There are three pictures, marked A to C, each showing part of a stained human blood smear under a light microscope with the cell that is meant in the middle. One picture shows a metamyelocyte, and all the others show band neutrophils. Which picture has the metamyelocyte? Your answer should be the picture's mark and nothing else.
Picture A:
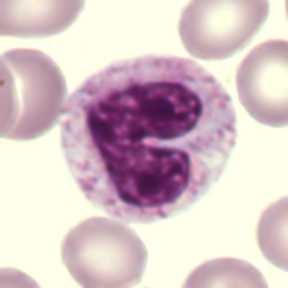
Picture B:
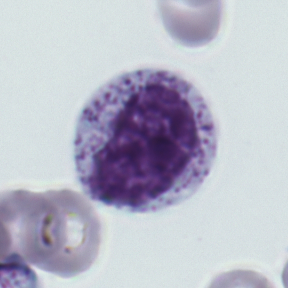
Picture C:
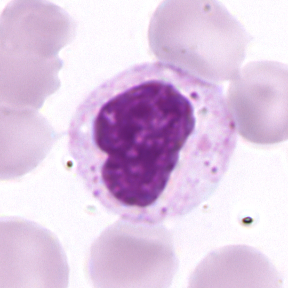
B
